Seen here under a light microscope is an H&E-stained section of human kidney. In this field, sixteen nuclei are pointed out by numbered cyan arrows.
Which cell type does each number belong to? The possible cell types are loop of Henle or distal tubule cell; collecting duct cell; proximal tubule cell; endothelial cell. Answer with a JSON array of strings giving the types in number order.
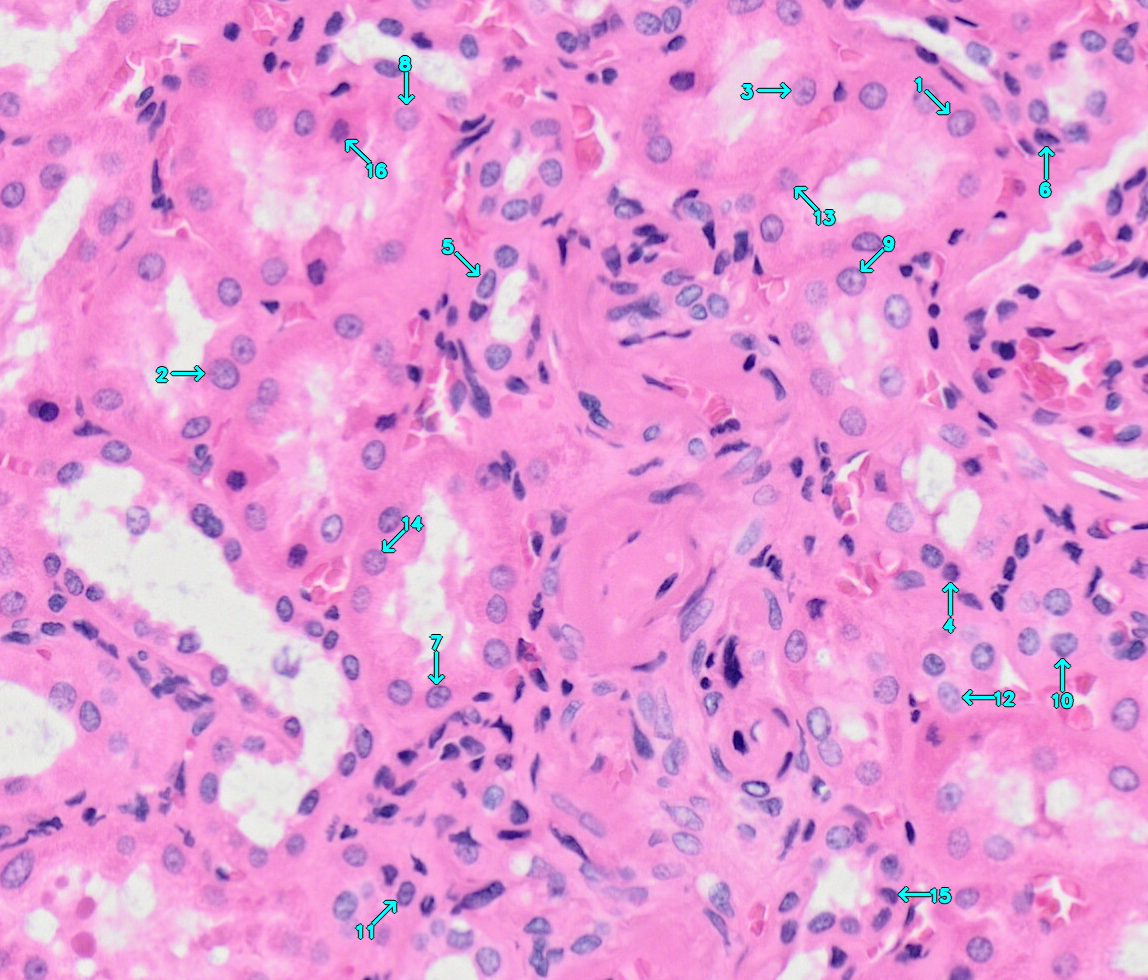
["proximal tubule cell", "proximal tubule cell", "proximal tubule cell", "loop of Henle or distal tubule cell", "collecting duct cell", "collecting duct cell", "proximal tubule cell", "proximal tubule cell", "proximal tubule cell", "loop of Henle or distal tubule cell", "collecting duct cell", "collecting duct cell", "proximal tubule cell", "proximal tubule cell", "collecting duct cell", "proximal tubule cell"]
